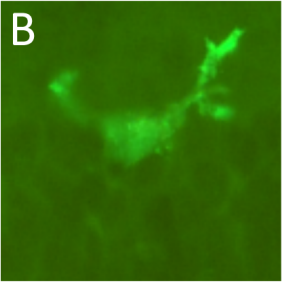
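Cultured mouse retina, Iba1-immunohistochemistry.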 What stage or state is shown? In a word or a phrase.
Intermediate.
